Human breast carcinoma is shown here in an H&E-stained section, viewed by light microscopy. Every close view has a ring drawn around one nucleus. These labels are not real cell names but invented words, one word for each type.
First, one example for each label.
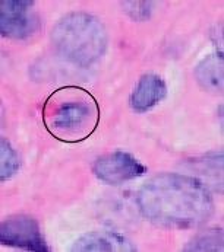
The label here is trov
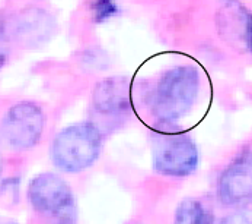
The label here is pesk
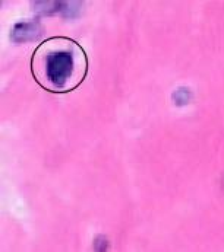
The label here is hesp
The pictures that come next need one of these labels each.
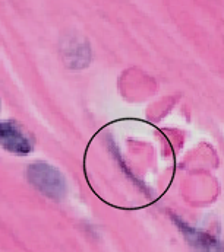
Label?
trov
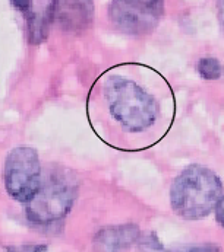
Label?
pesk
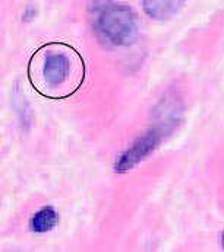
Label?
hesp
